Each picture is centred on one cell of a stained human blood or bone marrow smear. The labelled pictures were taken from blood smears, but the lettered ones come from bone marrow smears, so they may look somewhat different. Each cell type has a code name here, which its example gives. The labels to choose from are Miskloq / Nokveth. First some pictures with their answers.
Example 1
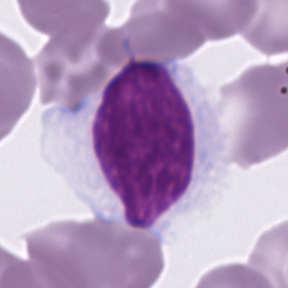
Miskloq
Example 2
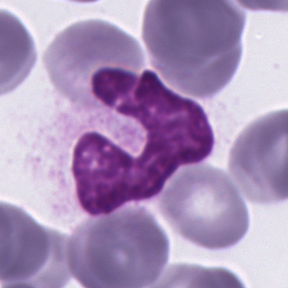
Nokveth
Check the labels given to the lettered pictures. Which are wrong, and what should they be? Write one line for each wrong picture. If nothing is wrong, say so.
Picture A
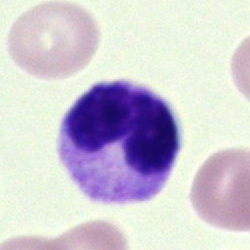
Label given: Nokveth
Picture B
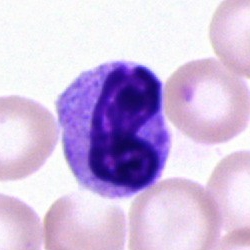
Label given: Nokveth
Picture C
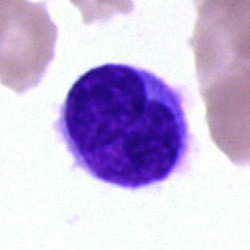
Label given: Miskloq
Every label is right.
